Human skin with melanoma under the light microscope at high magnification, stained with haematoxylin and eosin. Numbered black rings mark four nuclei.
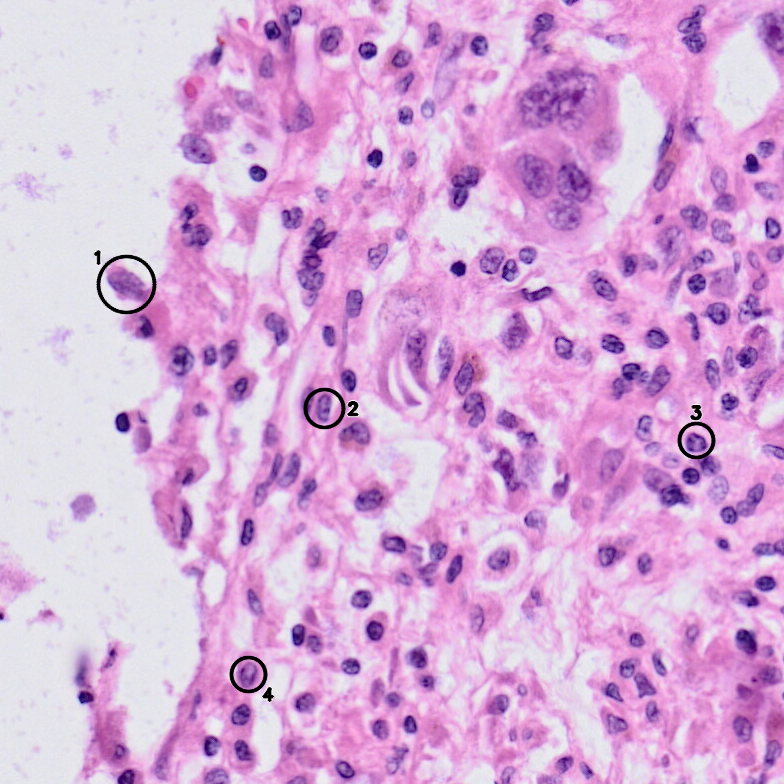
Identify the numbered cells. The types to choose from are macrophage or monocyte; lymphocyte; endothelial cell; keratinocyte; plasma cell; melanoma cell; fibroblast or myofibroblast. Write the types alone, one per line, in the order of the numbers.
melanoma cell
macrophage or monocyte
lymphocyte
macrophage or monocyte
